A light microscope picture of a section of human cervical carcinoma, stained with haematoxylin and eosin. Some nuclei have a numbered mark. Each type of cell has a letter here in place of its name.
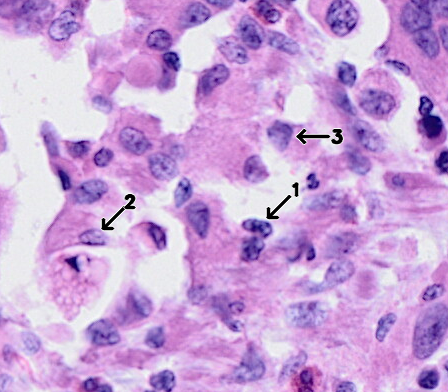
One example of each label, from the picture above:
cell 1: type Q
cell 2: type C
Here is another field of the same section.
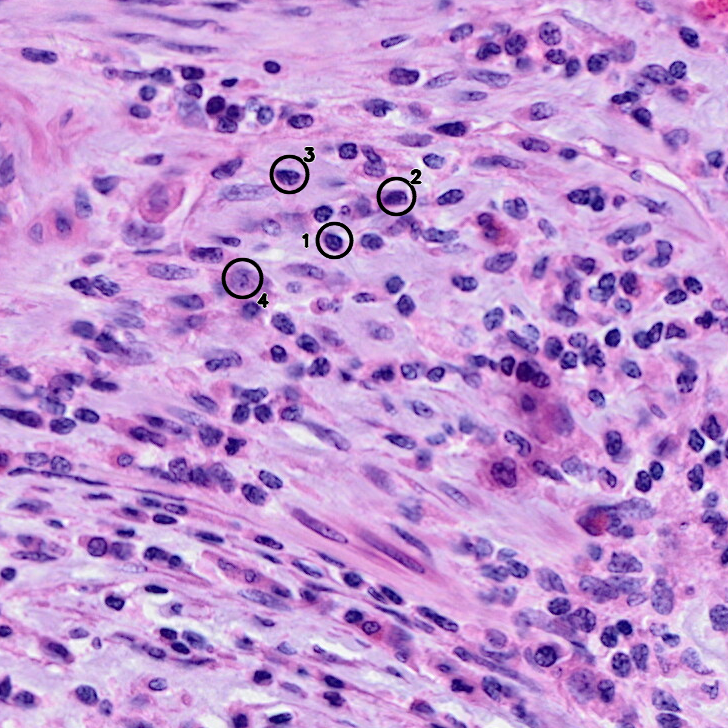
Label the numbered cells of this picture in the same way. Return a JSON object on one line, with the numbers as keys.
{"1": "type Q", "2": "type Q", "3": "type Q", "4": "type C"}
